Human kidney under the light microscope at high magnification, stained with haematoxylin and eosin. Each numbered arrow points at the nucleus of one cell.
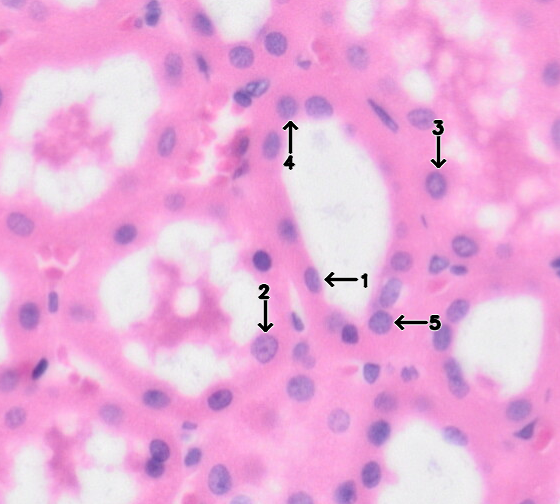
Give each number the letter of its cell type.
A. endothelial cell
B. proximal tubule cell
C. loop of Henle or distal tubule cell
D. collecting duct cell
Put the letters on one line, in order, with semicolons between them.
C; B; B; C; C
